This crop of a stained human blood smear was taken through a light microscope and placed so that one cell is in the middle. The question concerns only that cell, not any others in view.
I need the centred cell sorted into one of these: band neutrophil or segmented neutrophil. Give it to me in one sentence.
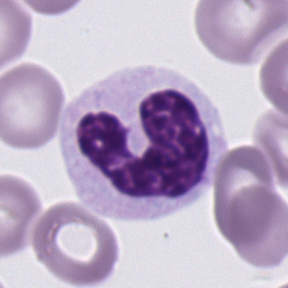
Regarding the central cell, it is a band neutrophil.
